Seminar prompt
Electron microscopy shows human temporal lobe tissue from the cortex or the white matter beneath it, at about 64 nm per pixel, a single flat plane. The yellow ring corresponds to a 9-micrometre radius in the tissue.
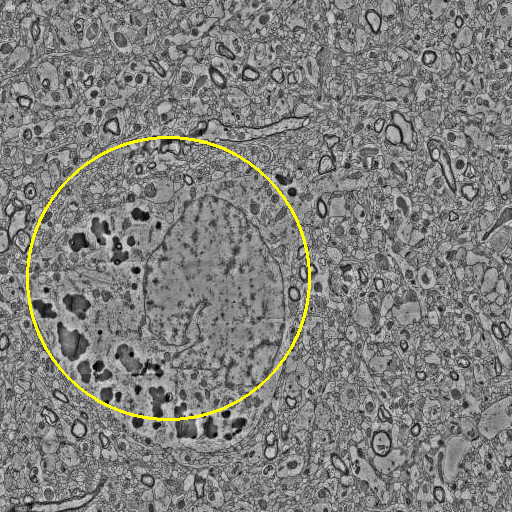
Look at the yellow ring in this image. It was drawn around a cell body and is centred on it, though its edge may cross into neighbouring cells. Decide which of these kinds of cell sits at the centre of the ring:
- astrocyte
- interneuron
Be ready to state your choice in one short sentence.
The kind of cell at the ring's centre is an interneuron.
